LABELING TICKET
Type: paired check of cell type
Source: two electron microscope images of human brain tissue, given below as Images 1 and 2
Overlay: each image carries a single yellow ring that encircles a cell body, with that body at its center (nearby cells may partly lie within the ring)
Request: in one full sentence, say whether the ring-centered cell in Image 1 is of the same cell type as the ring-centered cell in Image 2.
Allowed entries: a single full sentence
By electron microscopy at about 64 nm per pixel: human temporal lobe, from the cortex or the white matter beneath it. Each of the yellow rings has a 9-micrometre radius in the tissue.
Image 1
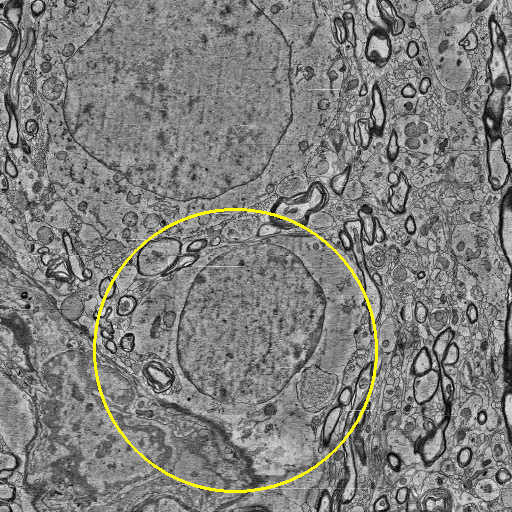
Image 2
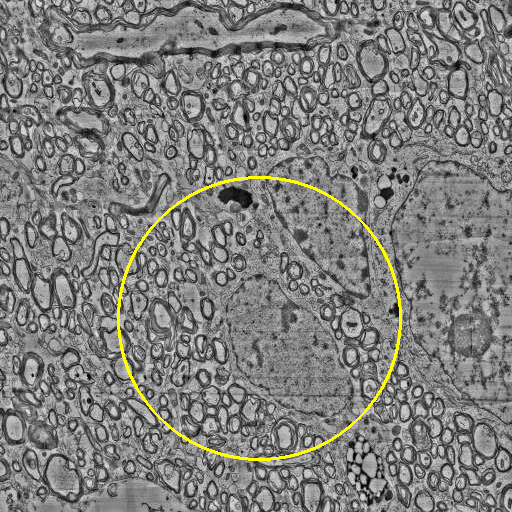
Yes, the cells centered in the rings of Image 1 and Image 2 share one type.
